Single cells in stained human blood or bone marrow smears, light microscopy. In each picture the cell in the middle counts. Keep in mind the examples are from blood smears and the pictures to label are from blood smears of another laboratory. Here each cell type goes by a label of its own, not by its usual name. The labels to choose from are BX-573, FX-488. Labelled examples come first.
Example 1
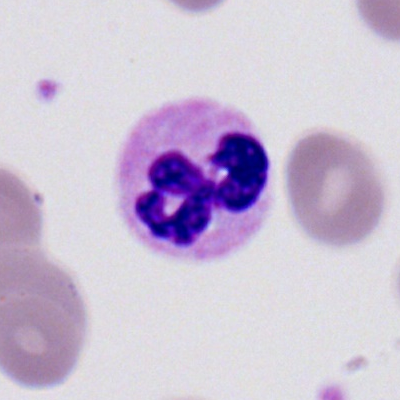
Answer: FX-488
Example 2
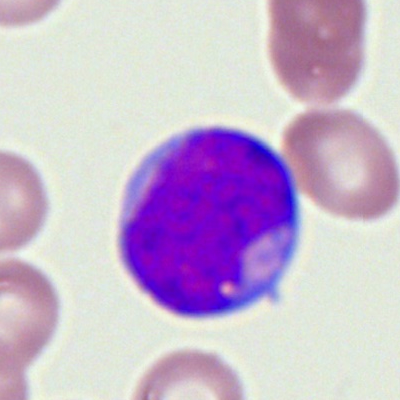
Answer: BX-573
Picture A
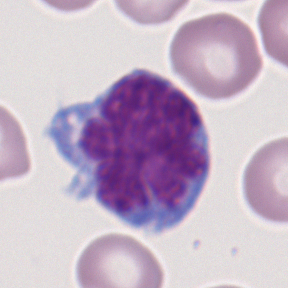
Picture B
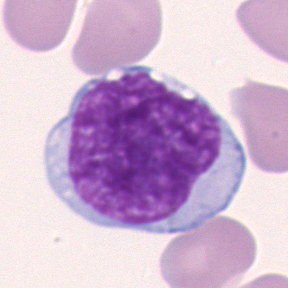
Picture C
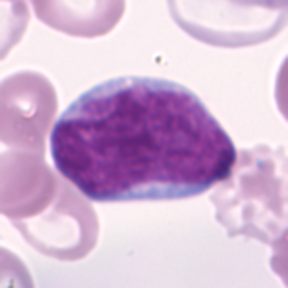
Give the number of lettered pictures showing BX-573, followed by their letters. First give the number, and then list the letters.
3: A, B, C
